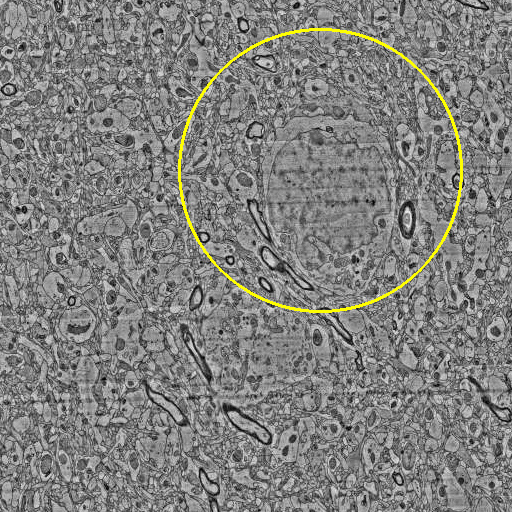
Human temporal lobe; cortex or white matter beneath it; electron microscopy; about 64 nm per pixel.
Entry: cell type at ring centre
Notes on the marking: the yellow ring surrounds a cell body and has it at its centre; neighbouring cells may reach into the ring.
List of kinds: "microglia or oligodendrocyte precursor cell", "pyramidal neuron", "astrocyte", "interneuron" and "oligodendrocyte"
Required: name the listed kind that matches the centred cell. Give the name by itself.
interneuron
